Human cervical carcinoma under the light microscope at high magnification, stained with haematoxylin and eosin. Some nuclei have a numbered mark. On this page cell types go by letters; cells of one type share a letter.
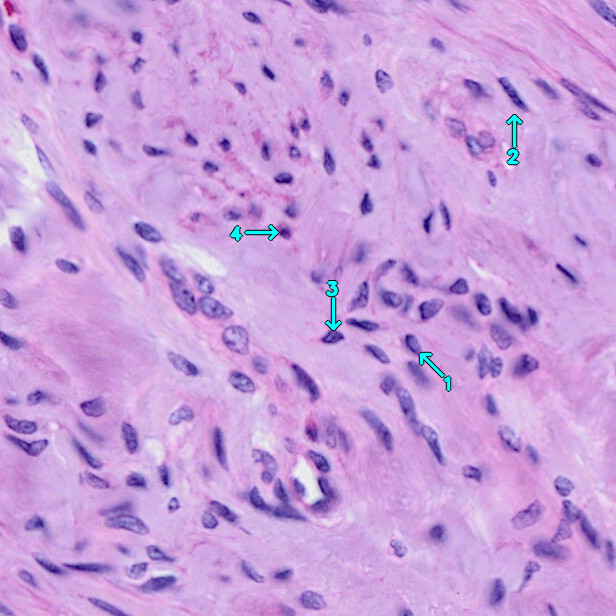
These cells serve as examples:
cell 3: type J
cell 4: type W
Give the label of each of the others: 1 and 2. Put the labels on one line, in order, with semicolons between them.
type J; type J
